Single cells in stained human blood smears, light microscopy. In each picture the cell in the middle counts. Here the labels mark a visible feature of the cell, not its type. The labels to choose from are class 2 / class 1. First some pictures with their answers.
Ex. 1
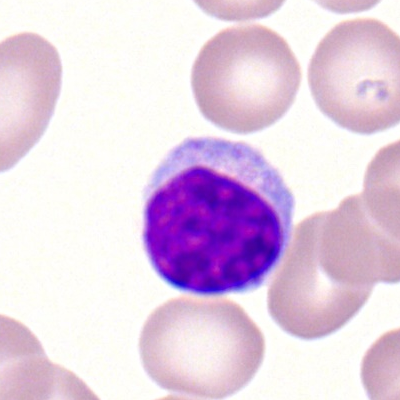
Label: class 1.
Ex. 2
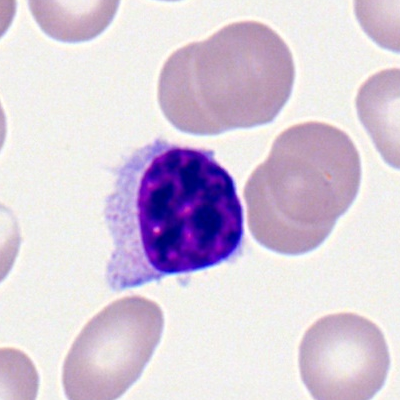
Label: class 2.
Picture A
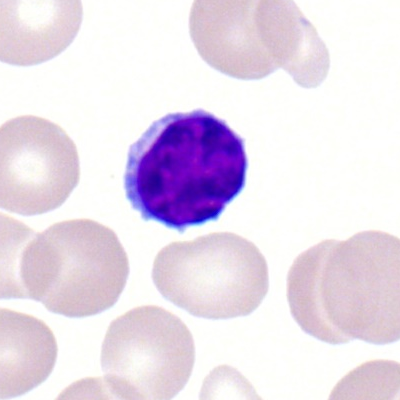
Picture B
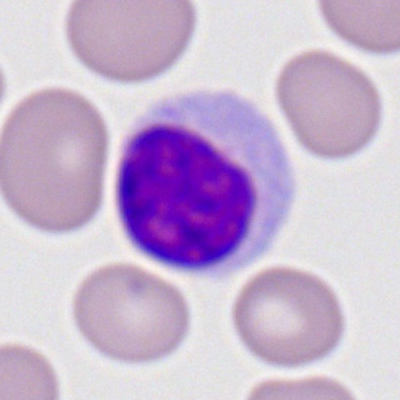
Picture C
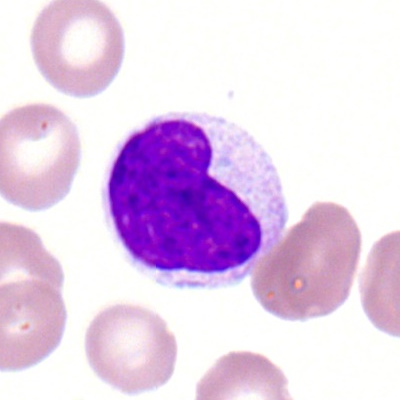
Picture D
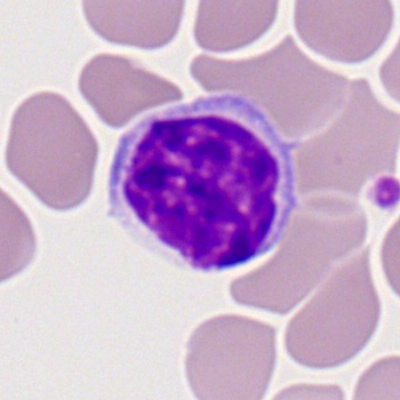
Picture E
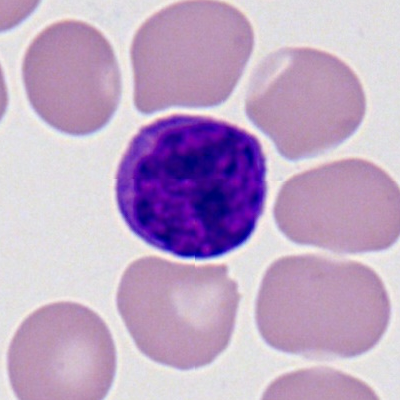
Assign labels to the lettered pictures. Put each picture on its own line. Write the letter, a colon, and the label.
A: class 2.
B: class 1.
C: class 1.
D: class 1.
E: class 1.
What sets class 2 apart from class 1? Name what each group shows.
class 2: ragged outline or projections; class 1: smooth outline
